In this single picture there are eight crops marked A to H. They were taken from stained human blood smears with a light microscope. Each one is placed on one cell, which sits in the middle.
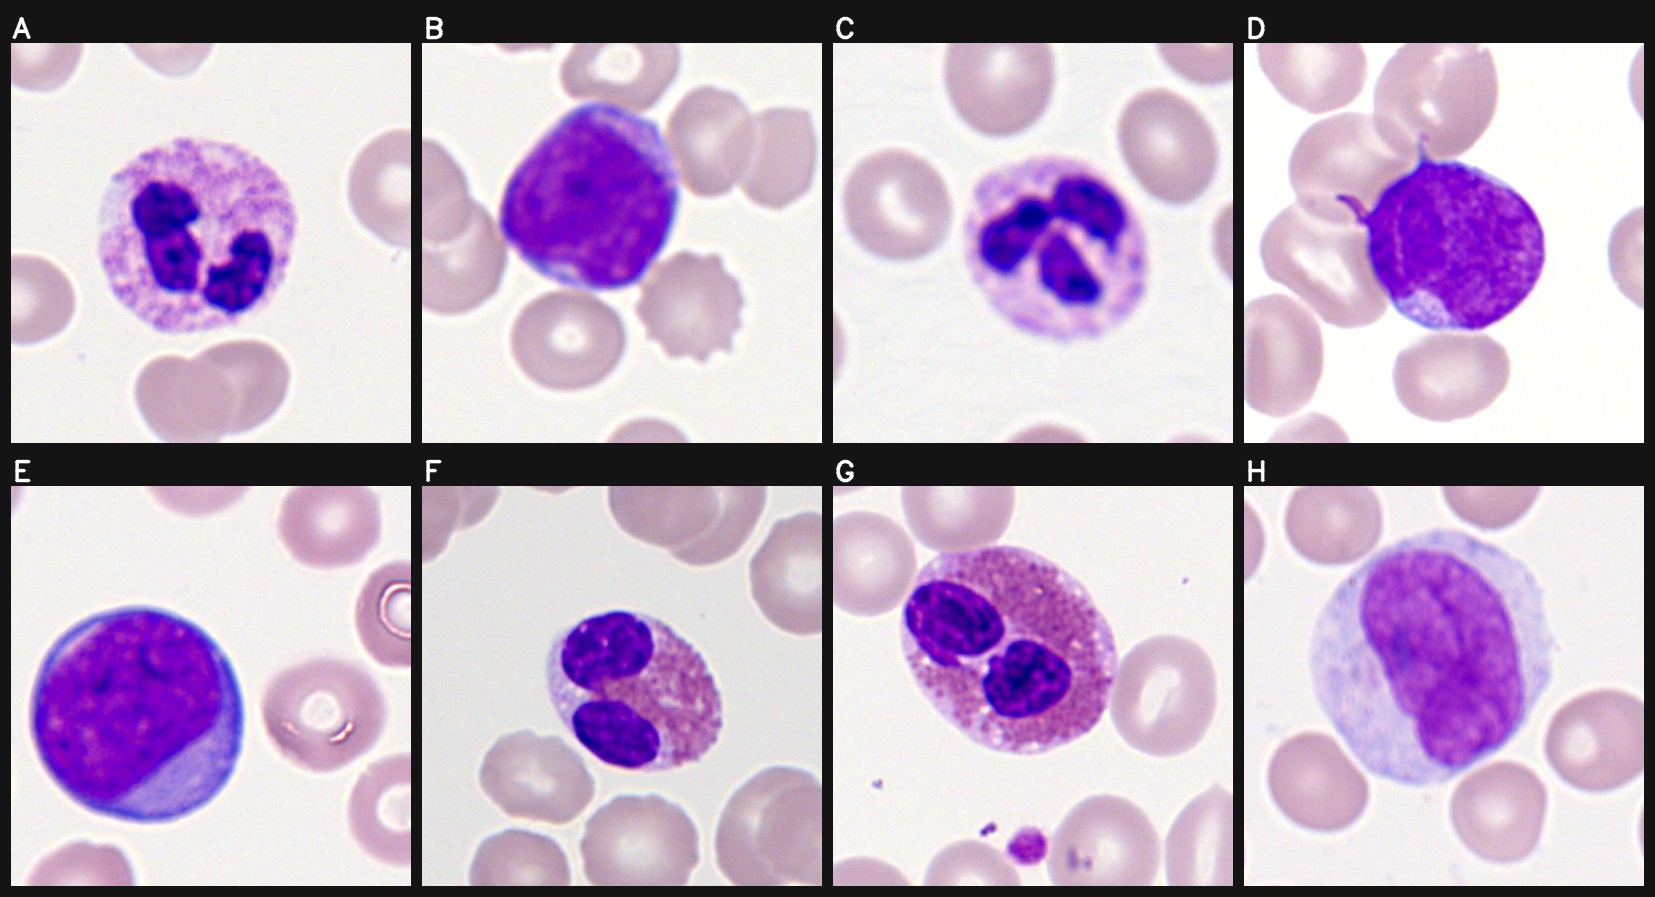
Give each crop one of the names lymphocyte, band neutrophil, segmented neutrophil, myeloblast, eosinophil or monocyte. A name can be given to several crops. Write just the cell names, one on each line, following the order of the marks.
segmented neutrophil
myeloblast
segmented neutrophil
myeloblast
myeloblast
eosinophil
eosinophil
monocyte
